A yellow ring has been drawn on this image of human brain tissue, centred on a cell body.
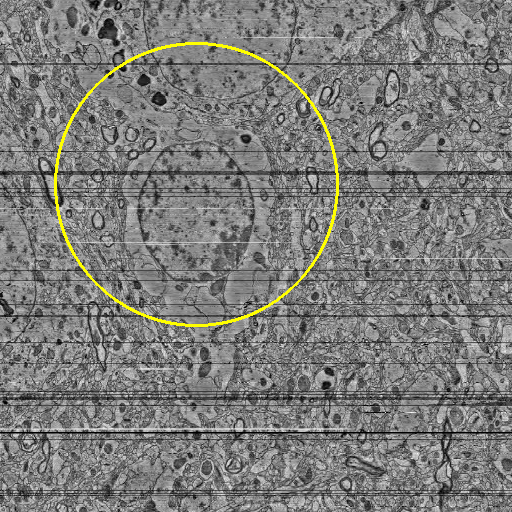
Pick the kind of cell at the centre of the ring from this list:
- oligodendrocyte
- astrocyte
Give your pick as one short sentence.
The centre of the ring holds an astrocyte.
